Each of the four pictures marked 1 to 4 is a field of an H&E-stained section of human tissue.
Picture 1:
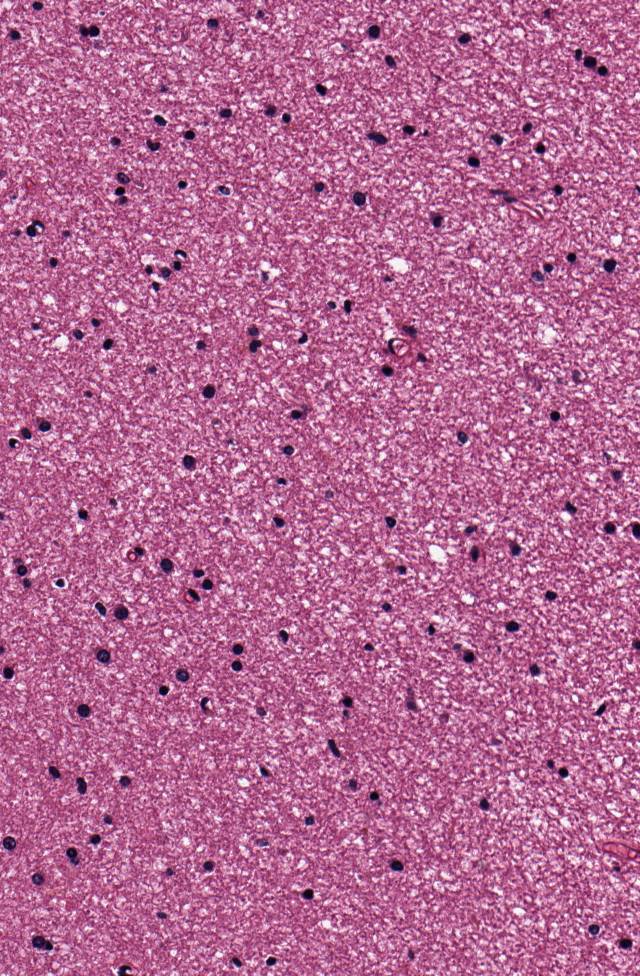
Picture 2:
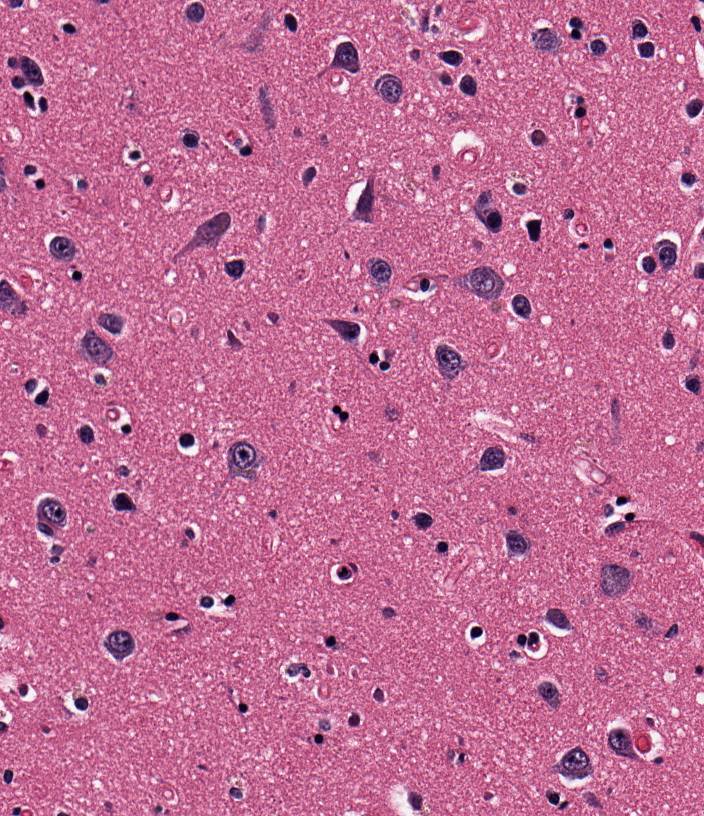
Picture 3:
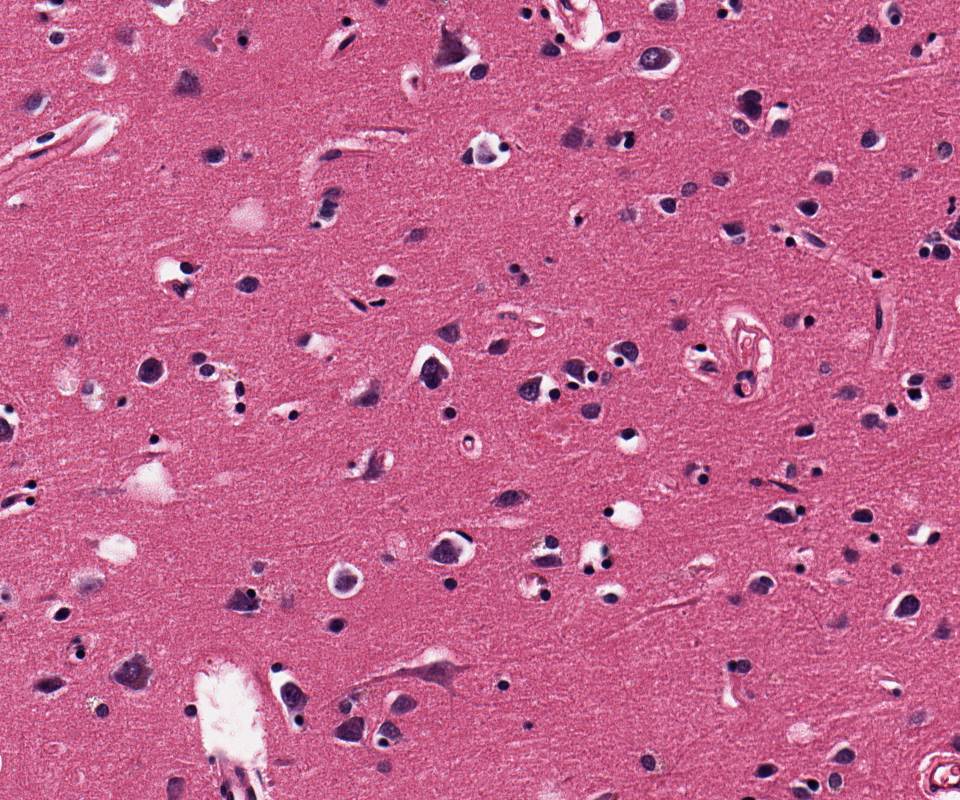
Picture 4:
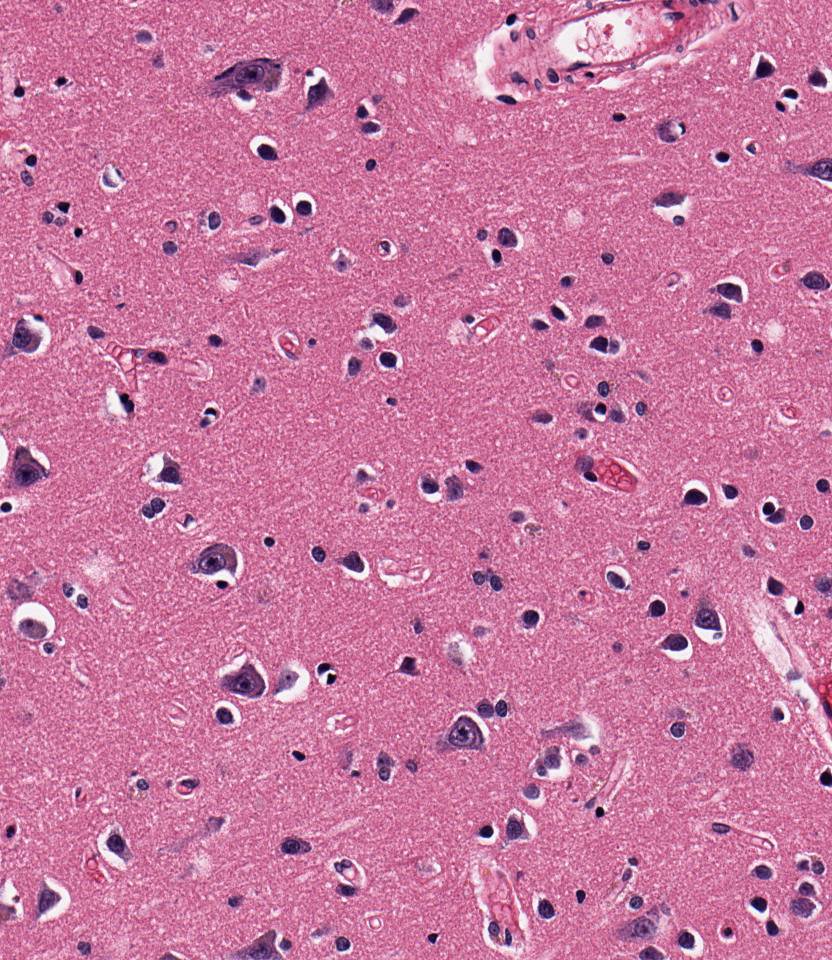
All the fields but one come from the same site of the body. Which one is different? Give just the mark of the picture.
1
